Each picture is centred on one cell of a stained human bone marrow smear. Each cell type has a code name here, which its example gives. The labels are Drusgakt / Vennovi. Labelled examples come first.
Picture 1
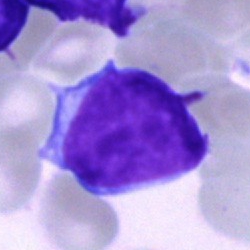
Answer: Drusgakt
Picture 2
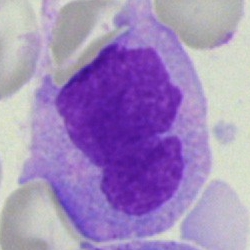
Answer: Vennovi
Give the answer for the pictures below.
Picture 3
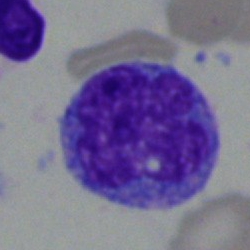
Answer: Drusgakt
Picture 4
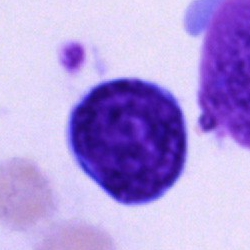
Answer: Drusgakt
